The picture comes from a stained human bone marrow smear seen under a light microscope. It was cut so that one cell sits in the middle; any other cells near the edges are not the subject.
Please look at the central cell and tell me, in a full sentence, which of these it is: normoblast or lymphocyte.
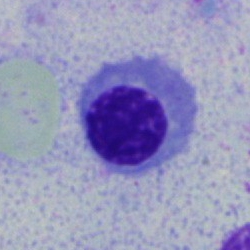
The cell positioned in the middle of the field is a normoblast.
